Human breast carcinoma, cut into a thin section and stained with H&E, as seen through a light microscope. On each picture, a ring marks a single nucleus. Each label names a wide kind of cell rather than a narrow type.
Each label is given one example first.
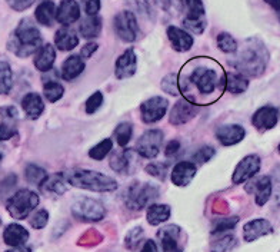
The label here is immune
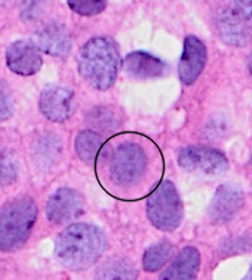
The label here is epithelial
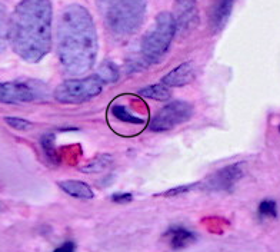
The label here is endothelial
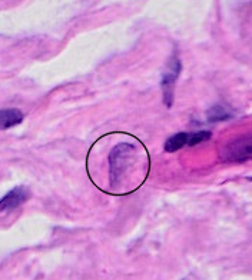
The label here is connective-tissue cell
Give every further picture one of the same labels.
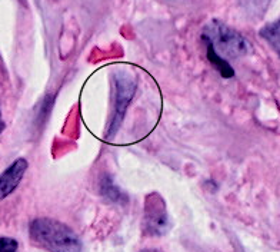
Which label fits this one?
endothelial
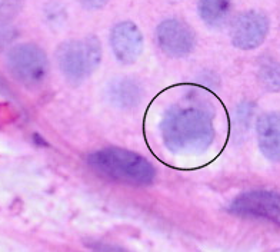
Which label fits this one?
epithelial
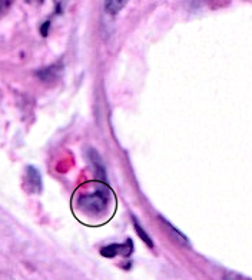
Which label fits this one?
endothelial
